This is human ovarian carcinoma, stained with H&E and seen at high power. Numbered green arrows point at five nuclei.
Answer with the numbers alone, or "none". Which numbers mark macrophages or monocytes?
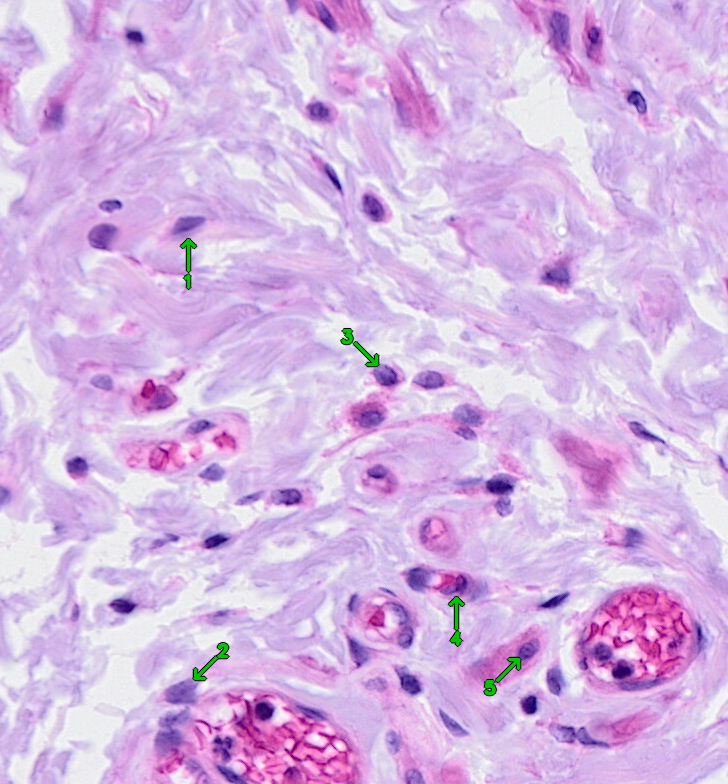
3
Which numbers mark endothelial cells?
4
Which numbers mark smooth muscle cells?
5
